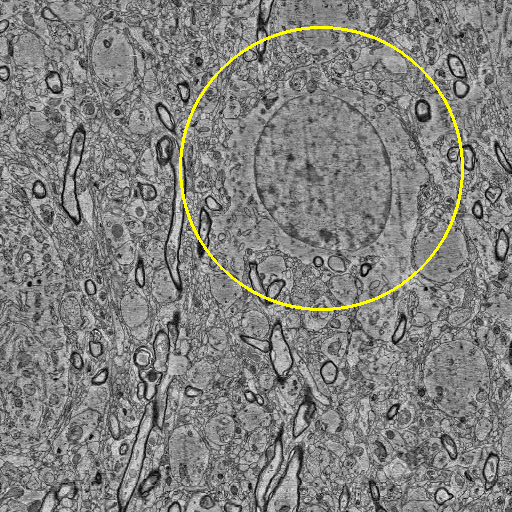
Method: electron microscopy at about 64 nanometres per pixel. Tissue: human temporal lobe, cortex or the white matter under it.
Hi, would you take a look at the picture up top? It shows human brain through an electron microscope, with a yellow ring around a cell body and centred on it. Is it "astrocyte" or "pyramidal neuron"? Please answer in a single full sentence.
The best fit for the cell in the middle of the ring is an astrocyte, I reckon.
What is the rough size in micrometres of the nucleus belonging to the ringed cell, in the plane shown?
About 11 by 9 micrometres in this plane.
